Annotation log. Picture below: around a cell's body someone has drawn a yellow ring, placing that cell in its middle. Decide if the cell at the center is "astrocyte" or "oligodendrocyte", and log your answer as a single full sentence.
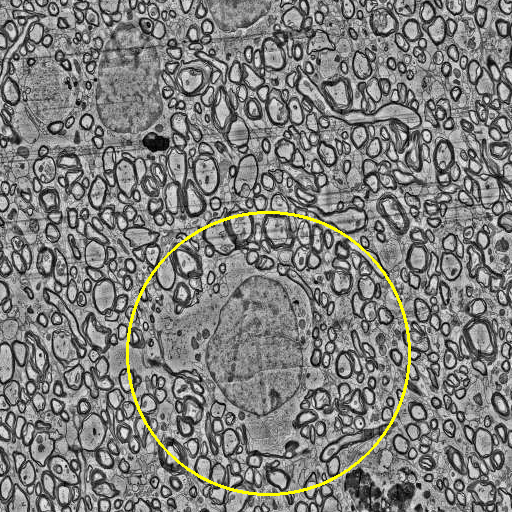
My entry records an astrocyte as the cell sitting at the center of the yellow ring.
